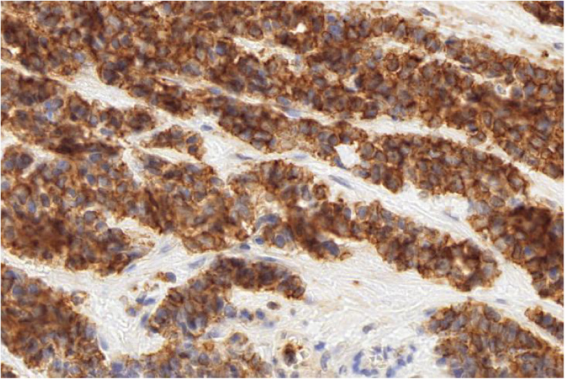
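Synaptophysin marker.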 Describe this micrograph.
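Here the tumour cells sit in nests and cords separated by pale, loose fibrous strands. Most tumour cells show a strong brown granular stain filling their cytoplasm and outlining the cells. The thin stromal strands between the nests stay unstained apart from a few blue nuclei.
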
